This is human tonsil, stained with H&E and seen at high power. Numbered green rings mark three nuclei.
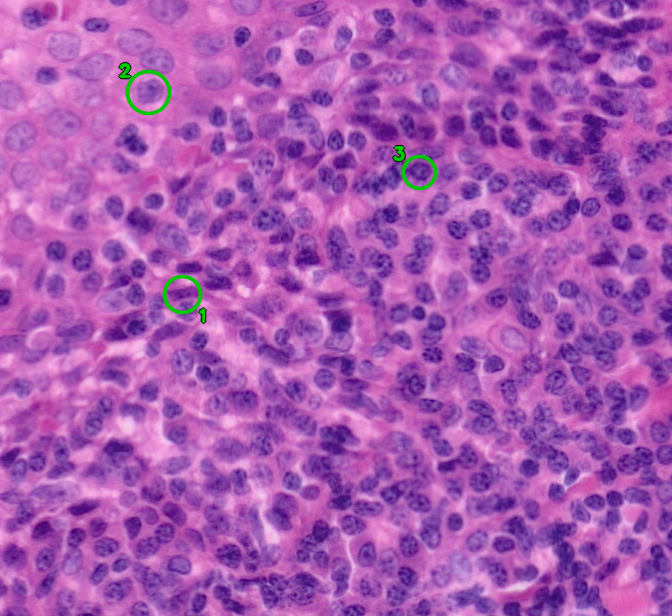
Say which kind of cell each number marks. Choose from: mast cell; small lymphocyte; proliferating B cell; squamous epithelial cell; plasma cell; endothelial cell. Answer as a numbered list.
1. squamous epithelial cell
2. squamous epithelial cell
3. plasma cell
